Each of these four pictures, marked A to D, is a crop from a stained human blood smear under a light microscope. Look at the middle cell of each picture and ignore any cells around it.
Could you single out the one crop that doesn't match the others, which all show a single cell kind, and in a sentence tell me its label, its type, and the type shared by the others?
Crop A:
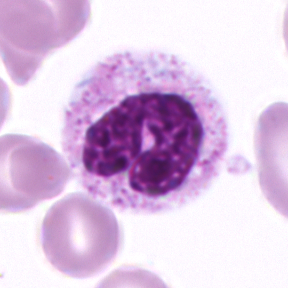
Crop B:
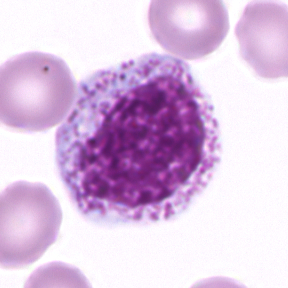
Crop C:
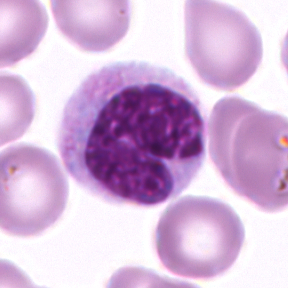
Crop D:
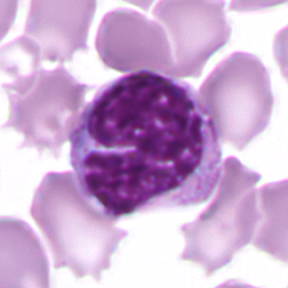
Whereas the other crops show band neutrophils, crop B is a metamyelocyte.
